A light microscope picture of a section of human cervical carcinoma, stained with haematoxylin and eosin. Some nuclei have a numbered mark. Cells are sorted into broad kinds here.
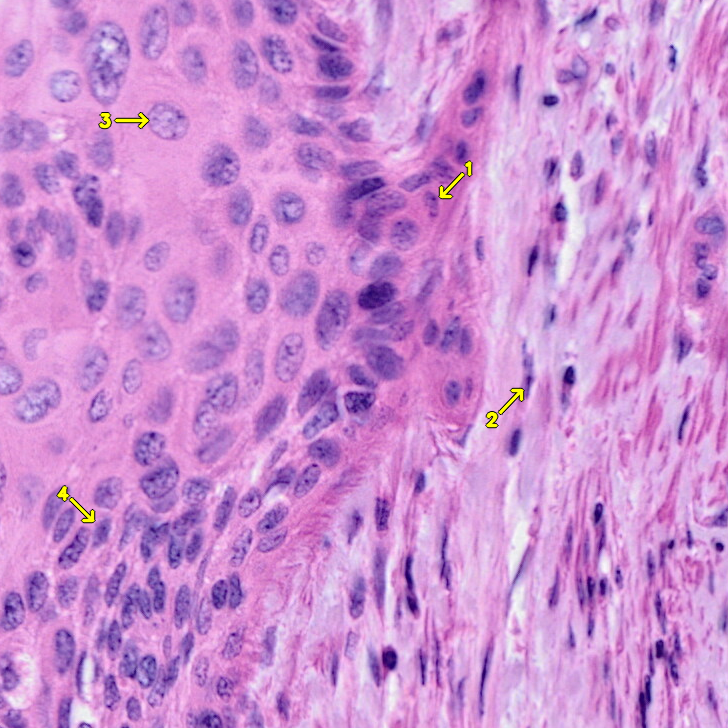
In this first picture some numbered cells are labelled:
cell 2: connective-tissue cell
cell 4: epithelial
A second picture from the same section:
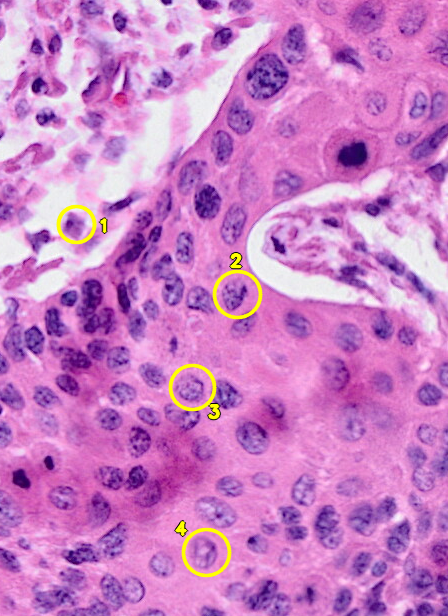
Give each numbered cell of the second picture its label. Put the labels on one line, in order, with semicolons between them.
connective-tissue cell; epithelial; epithelial; epithelial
